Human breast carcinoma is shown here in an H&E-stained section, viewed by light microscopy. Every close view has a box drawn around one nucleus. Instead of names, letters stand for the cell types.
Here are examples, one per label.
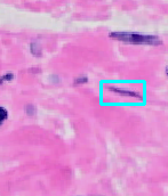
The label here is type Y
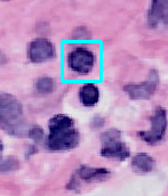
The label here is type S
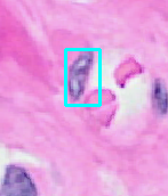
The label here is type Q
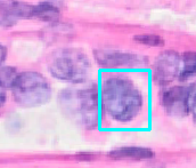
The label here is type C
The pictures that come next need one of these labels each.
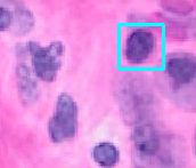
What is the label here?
type S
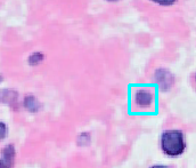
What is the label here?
type S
